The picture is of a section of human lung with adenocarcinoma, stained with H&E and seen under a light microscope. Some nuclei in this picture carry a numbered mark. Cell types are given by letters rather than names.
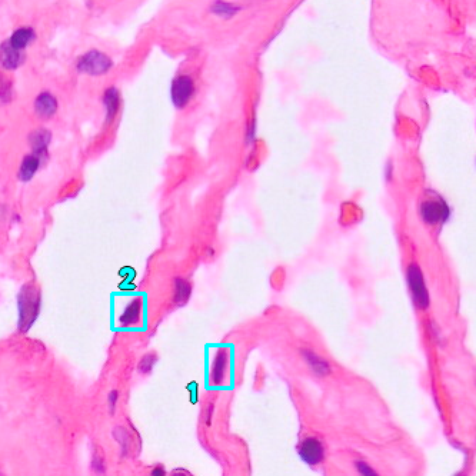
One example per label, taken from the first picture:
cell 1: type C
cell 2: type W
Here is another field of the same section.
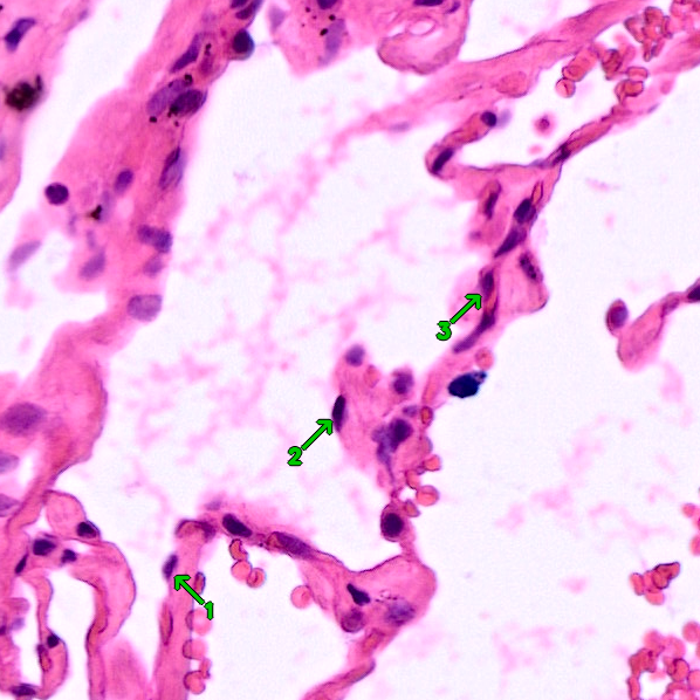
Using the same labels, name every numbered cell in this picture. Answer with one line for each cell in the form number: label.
1: type W
2: type W
3: type C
